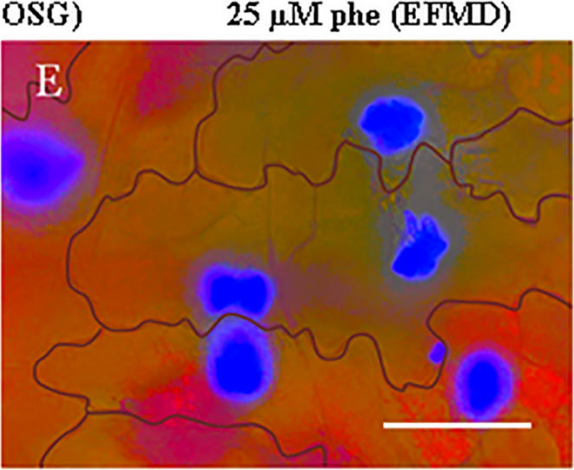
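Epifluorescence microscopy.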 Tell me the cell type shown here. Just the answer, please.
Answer: Pavement cells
